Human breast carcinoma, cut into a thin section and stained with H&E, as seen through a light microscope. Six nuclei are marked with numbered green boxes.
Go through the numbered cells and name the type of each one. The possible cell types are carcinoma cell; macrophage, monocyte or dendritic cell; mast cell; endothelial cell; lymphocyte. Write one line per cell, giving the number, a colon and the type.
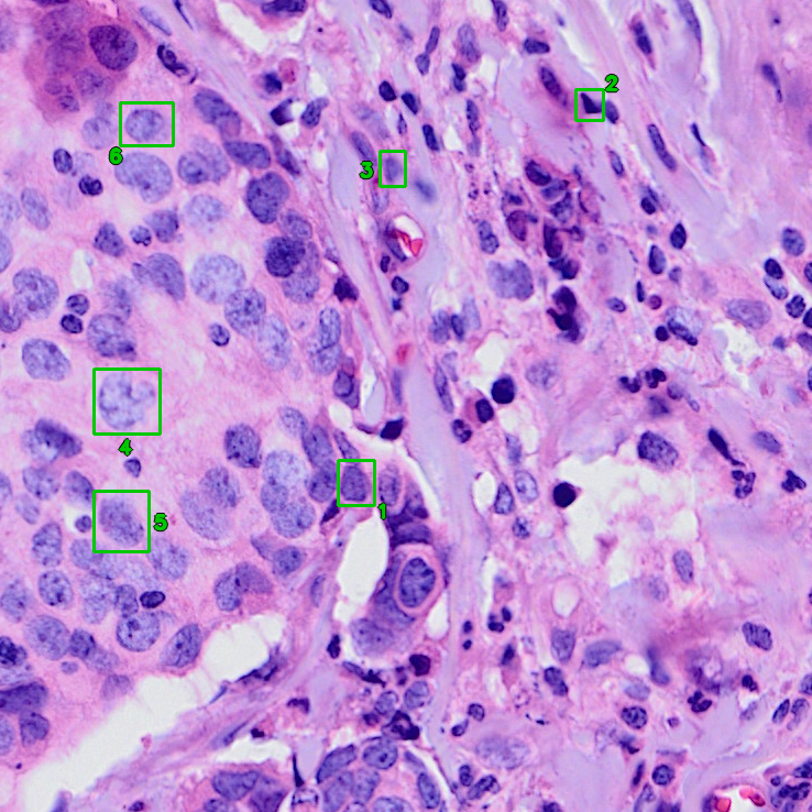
1: carcinoma cell
2: lymphocyte
3: endothelial cell
4: carcinoma cell
5: carcinoma cell
6: carcinoma cell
